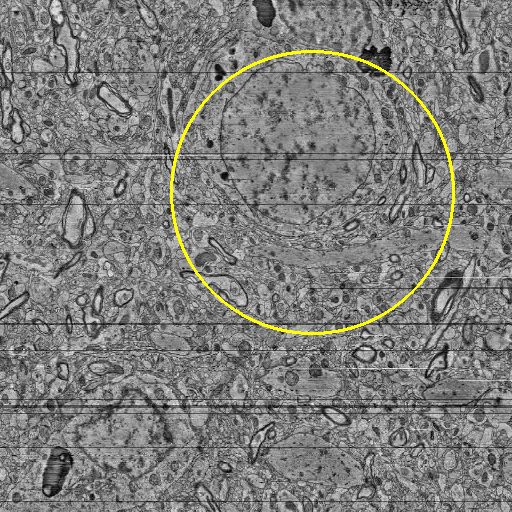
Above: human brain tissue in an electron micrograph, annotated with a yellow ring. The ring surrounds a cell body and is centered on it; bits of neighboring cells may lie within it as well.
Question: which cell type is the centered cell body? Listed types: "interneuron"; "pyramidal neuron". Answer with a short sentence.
The centered cell body is a pyramidal neuron.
